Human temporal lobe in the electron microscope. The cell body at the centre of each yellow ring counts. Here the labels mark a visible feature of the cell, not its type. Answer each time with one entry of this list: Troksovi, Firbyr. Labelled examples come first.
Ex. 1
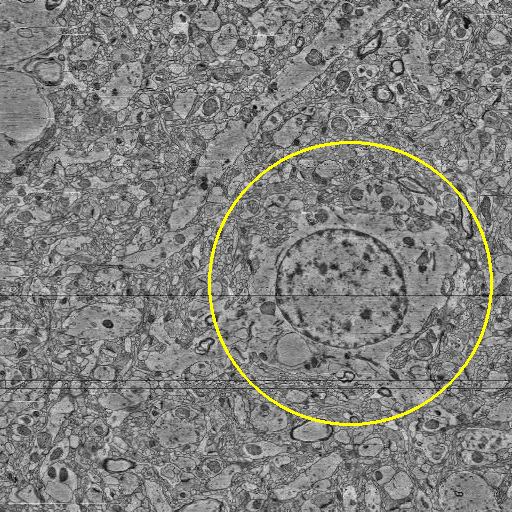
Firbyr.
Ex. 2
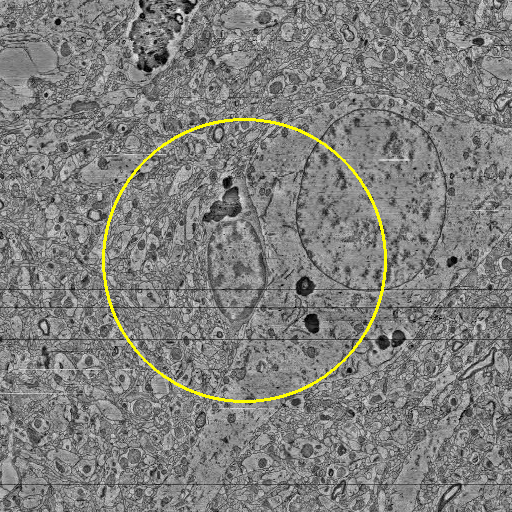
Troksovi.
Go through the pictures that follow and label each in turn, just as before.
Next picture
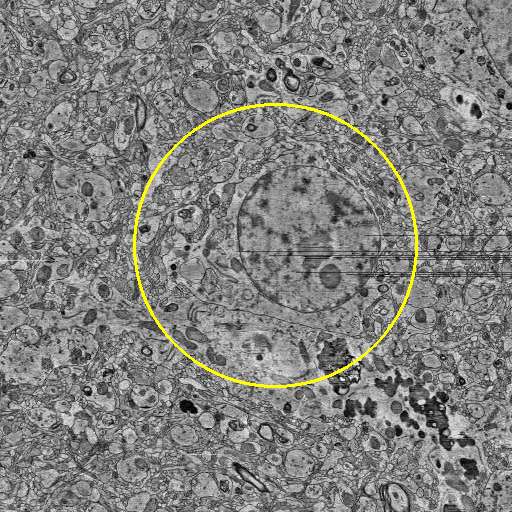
Firbyr.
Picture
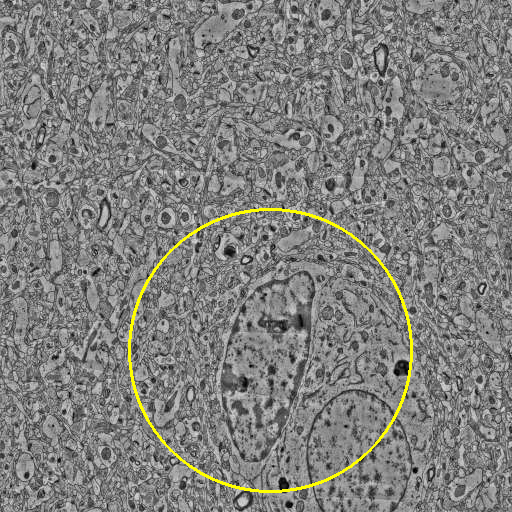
Troksovi.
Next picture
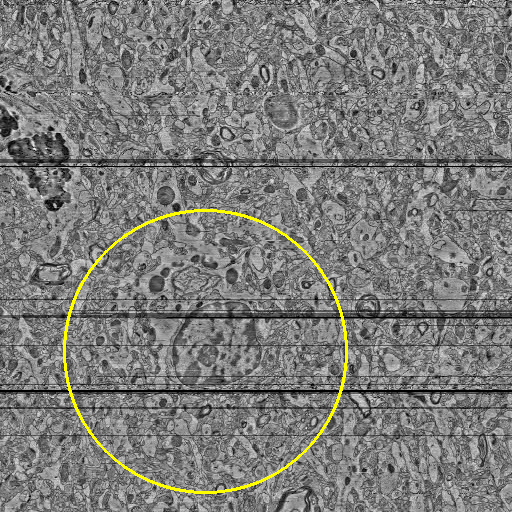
Firbyr.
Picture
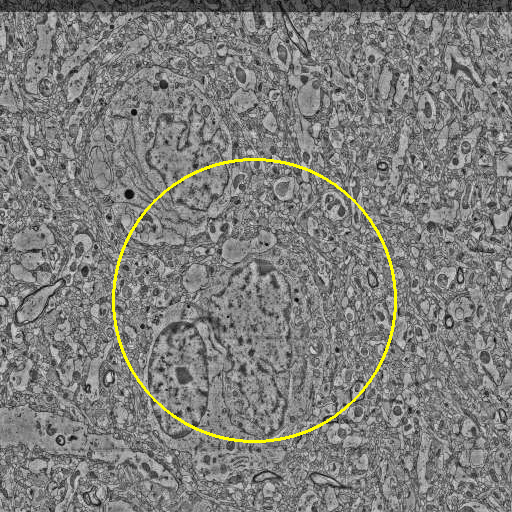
Troksovi.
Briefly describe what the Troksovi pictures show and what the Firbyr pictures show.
Troksovi: clearly elongated nuclei; Firbyr: round or nearly round nuclei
